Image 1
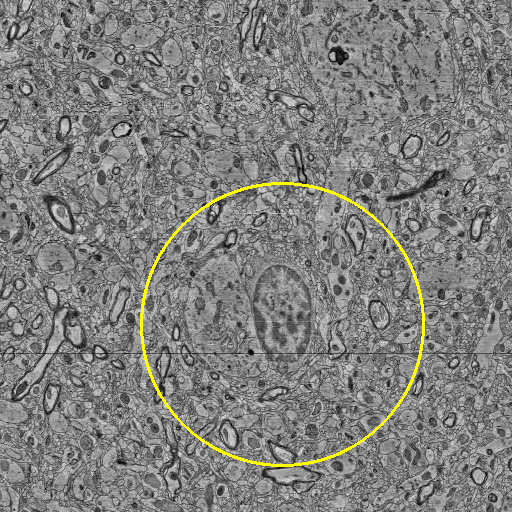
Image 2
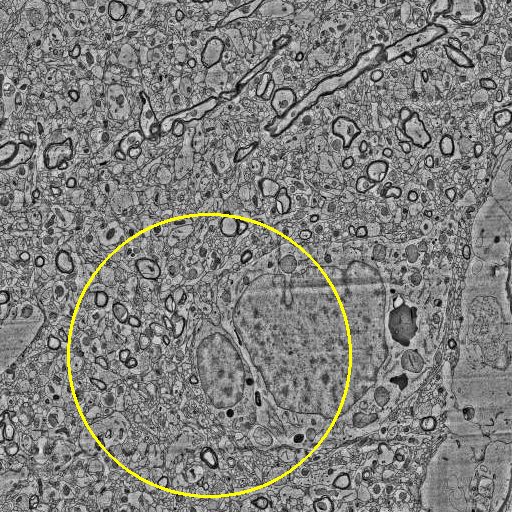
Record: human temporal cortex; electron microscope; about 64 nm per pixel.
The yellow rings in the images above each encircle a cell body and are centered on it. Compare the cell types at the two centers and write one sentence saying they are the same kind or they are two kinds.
Taken together, the two cells at the ring centers are the same kind.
